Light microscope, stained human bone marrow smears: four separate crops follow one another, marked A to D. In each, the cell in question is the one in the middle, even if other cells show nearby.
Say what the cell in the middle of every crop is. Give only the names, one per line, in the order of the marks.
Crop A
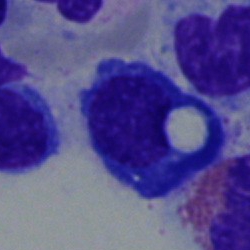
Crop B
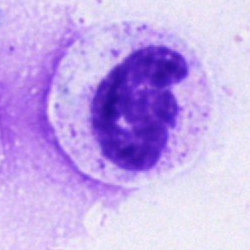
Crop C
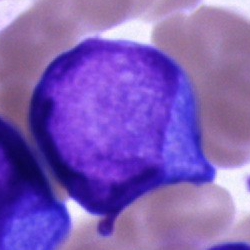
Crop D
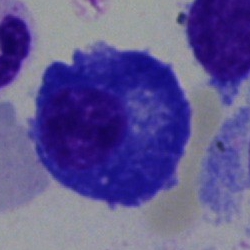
plasma cell
segmented neutrophil
blast
plasma cell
